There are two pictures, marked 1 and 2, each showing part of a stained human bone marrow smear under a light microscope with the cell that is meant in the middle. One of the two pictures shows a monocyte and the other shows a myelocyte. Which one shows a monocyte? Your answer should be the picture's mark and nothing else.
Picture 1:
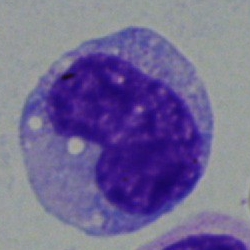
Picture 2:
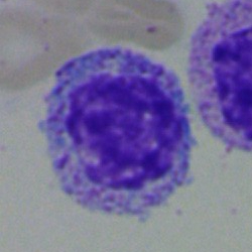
1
